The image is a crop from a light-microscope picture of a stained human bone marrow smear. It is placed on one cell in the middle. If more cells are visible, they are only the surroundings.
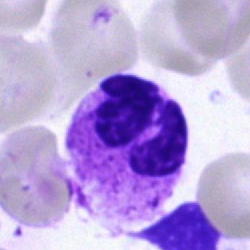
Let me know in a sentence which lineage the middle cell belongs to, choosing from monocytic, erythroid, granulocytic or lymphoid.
The cell located at the center of the crop is granulocytic by lineage.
